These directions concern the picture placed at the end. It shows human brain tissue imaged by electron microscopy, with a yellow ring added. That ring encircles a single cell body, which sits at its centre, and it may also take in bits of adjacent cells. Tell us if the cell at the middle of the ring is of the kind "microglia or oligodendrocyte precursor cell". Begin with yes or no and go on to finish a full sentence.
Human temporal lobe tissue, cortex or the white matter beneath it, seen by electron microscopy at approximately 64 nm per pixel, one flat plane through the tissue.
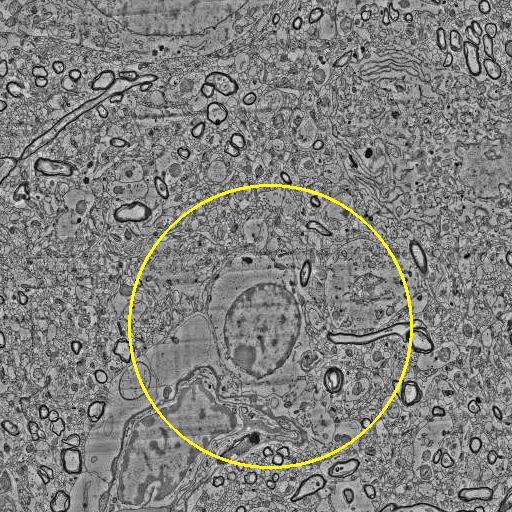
Yes, the cell sitting at the centre of the yellow ring in the picture is of that kind.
